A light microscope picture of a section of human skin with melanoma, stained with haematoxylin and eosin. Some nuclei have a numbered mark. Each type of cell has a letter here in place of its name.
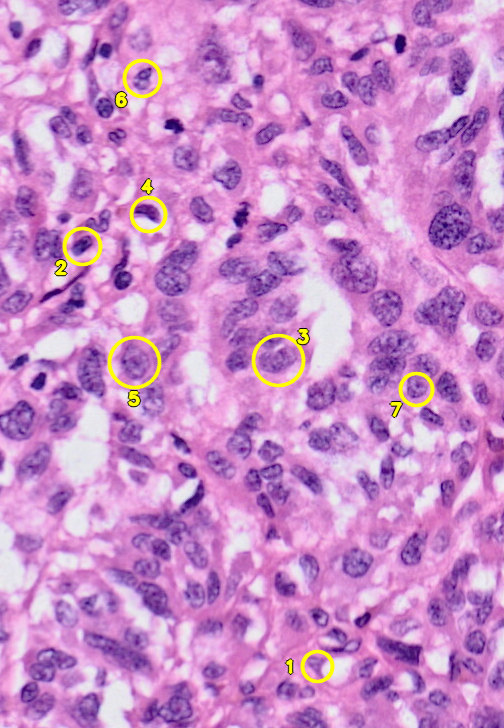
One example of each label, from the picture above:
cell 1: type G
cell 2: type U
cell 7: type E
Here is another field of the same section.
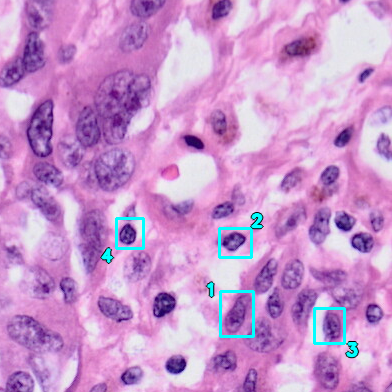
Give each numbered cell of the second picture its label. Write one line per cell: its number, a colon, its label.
1: type E
2: type U
3: type E
4: type U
